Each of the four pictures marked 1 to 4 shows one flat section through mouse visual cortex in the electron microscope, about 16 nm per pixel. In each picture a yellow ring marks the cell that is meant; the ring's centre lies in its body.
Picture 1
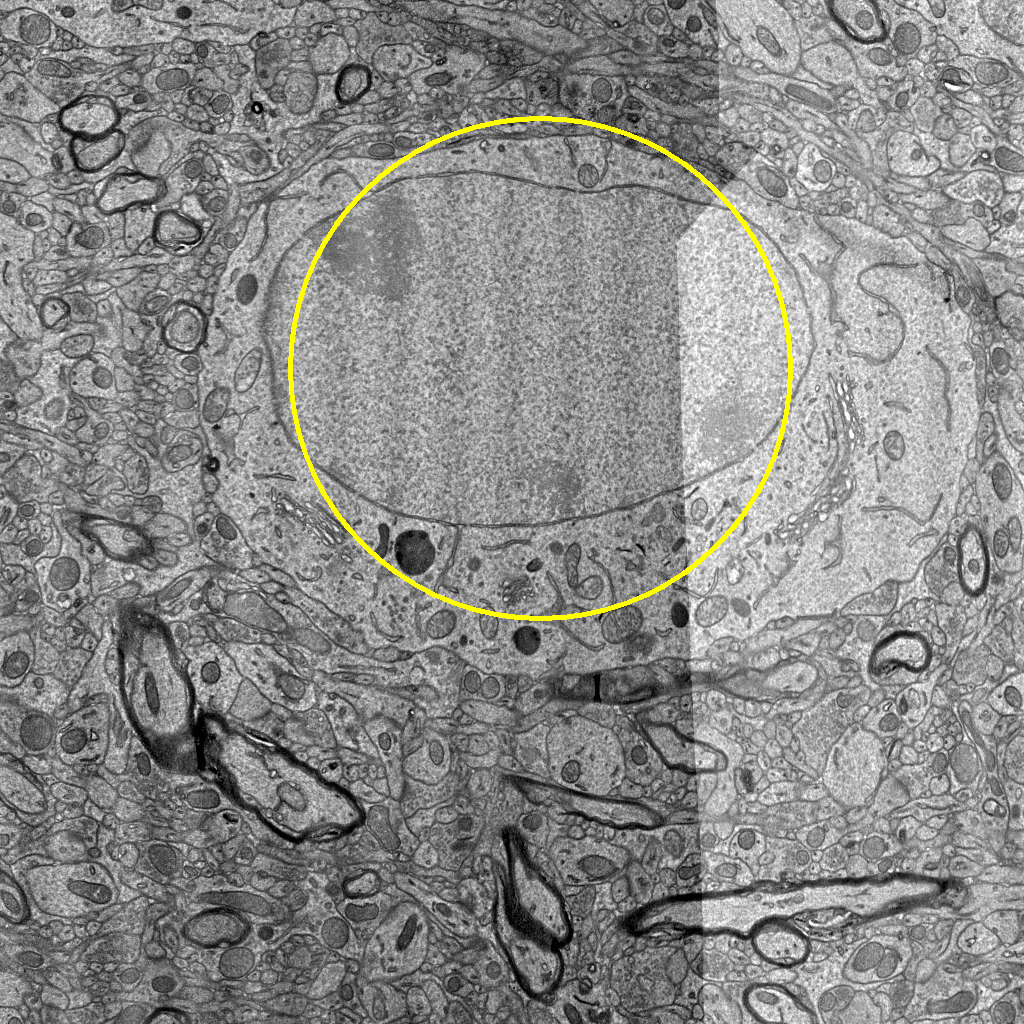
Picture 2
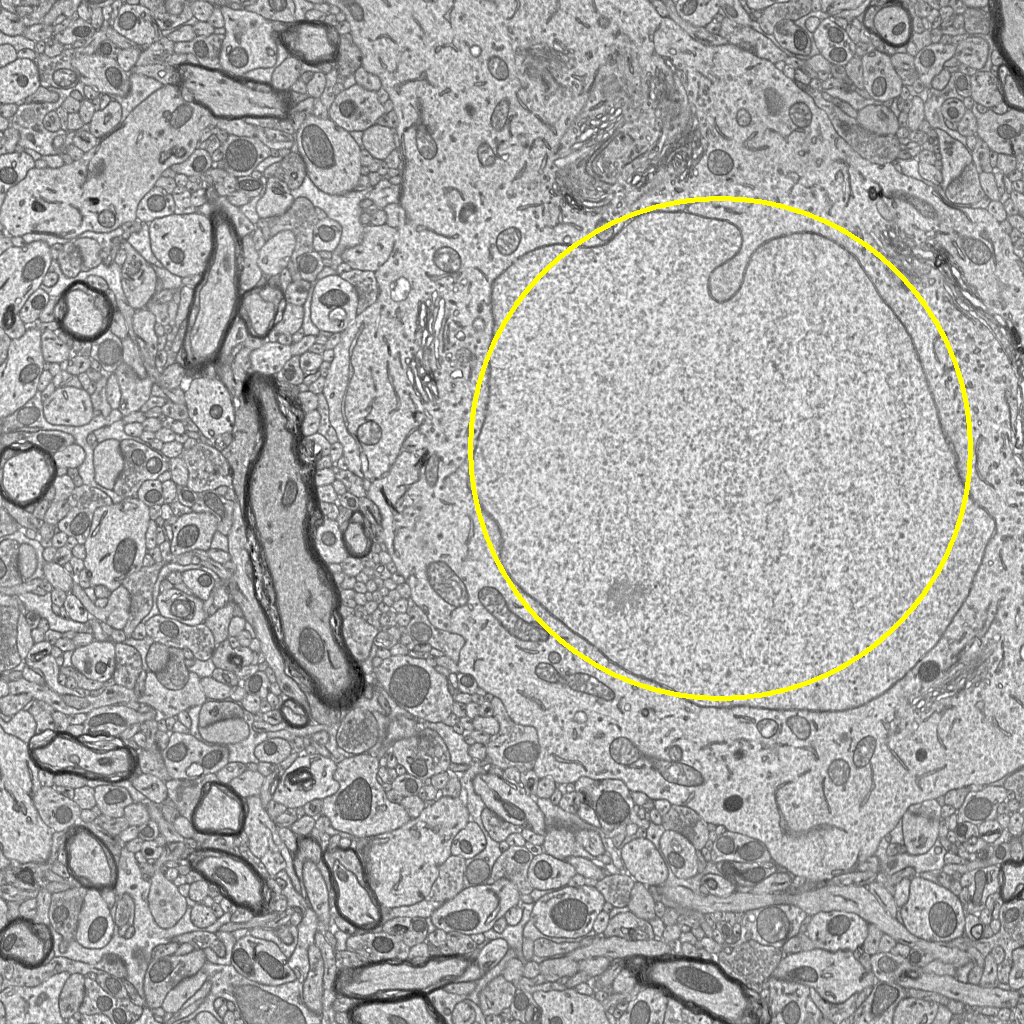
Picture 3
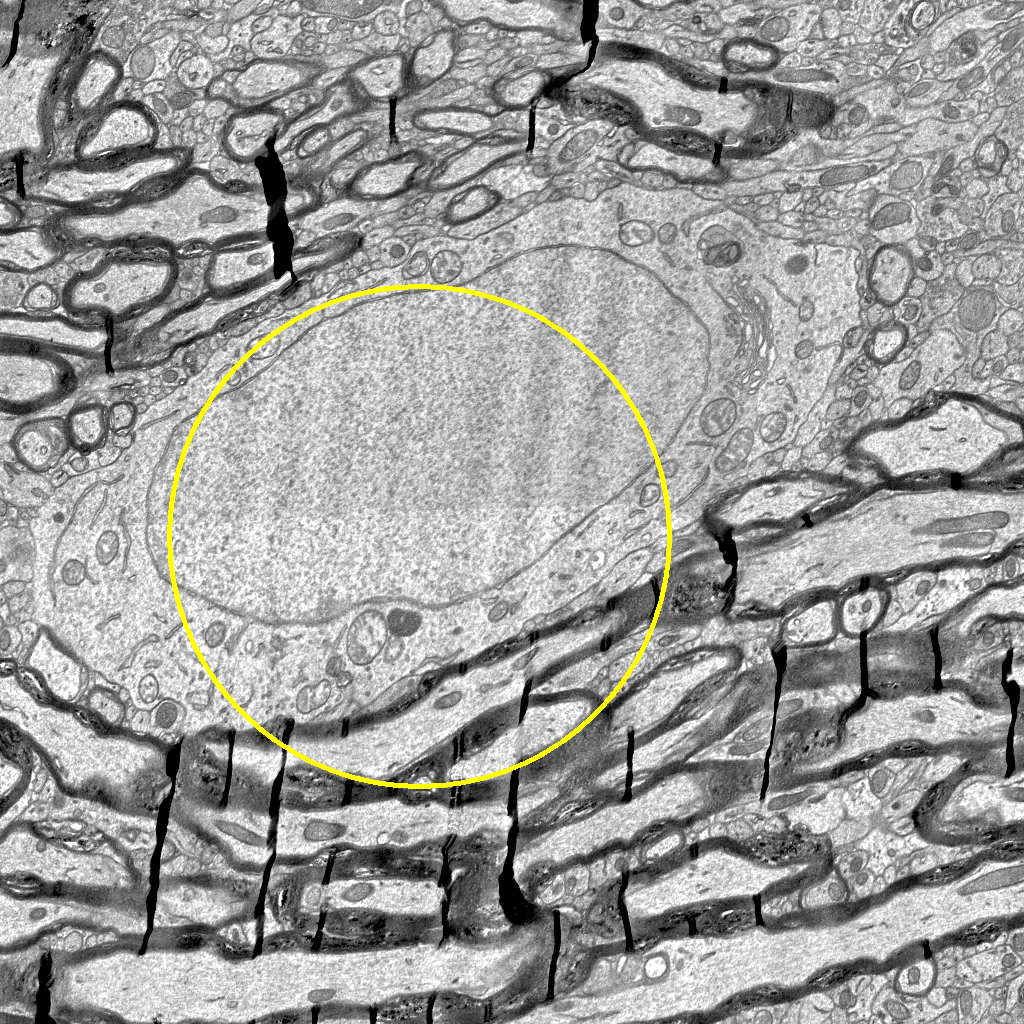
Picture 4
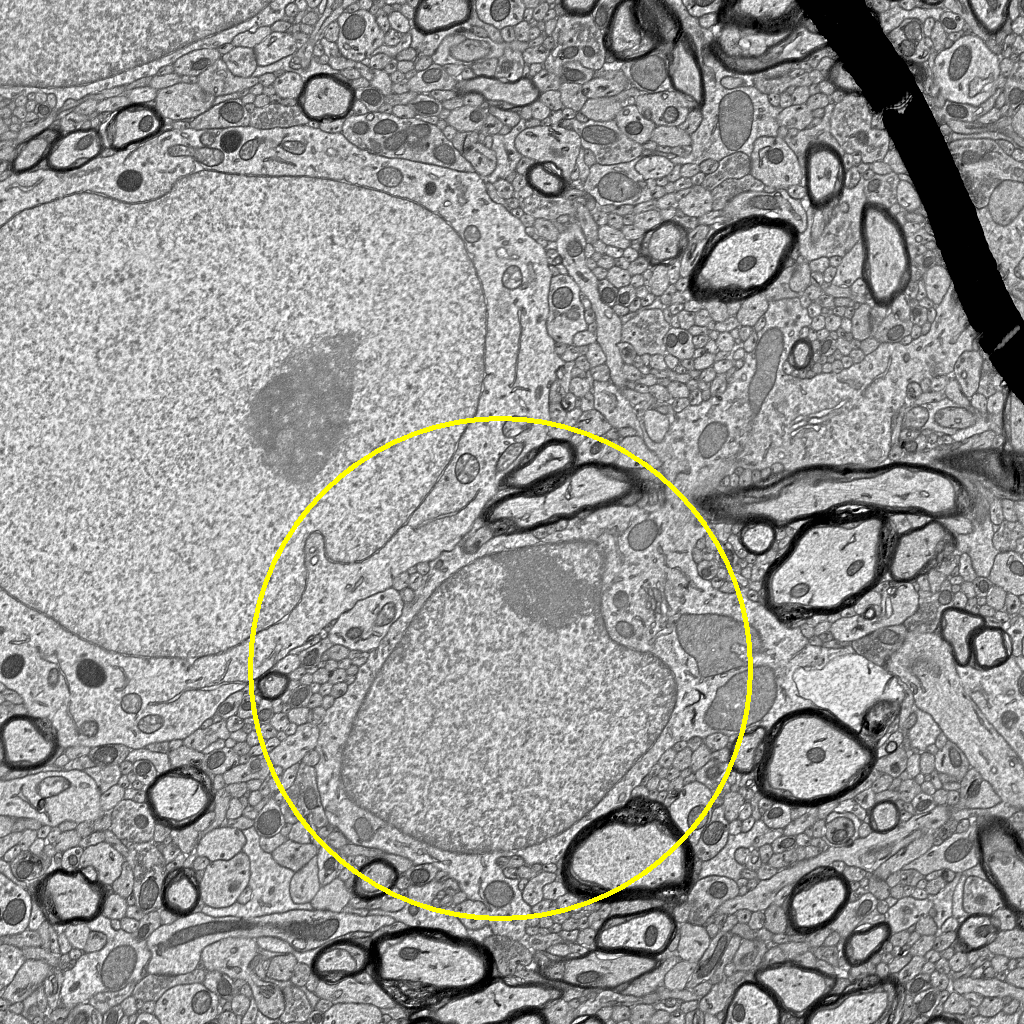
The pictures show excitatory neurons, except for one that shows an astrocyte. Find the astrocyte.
The cell in picture 4 is the astrocyte.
